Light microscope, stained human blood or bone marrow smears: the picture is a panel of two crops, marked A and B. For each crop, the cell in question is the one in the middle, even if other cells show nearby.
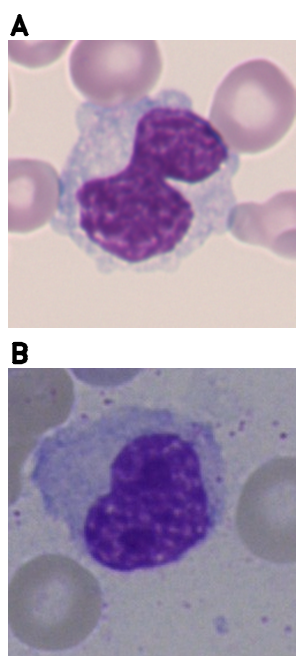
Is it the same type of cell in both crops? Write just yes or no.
yes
